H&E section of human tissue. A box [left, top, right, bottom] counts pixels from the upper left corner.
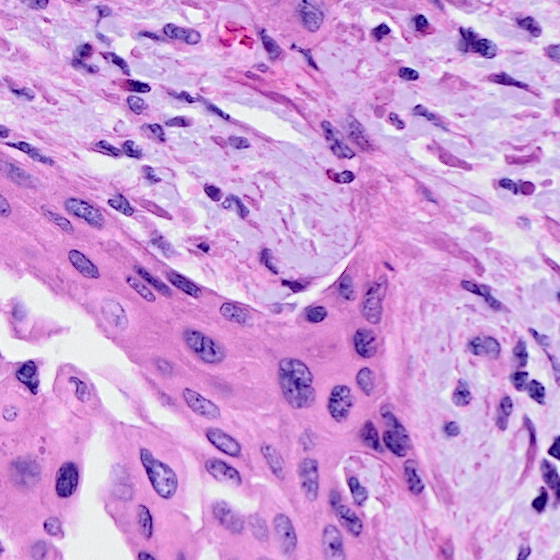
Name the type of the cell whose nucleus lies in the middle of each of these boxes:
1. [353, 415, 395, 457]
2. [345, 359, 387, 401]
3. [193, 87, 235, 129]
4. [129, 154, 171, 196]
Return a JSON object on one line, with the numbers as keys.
{"1": "squamous carcinoma cell", "2": "squamous carcinoma cell", "3": "fibroblast", "4": "fibroblast"}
